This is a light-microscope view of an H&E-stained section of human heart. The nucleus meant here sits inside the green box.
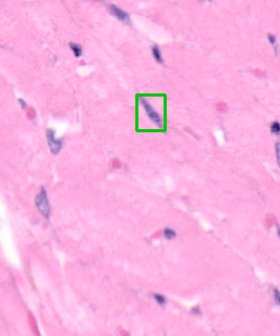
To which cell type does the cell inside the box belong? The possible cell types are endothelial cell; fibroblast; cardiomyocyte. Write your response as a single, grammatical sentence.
In cellular terms, the cell inside the box is a fibroblast.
